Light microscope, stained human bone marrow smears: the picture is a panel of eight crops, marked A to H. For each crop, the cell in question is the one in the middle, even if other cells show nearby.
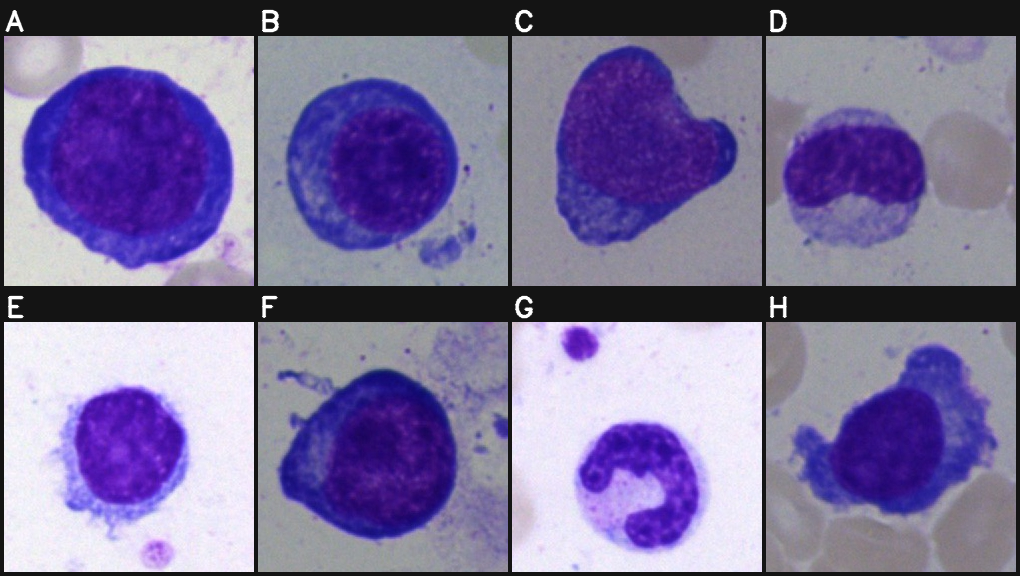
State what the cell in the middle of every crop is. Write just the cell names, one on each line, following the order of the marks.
proerythroblast
proerythroblast
proerythroblast
metamyelocyte
lymphocyte
proerythroblast
band neutrophil
plasma cell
